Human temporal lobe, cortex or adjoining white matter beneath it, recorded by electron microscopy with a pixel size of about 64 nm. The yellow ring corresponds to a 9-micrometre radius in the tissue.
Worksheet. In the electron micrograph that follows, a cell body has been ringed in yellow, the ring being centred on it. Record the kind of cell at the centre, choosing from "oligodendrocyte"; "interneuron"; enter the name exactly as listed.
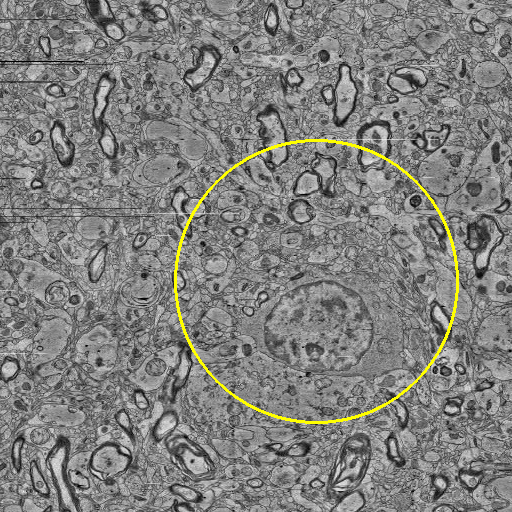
oligodendrocyte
